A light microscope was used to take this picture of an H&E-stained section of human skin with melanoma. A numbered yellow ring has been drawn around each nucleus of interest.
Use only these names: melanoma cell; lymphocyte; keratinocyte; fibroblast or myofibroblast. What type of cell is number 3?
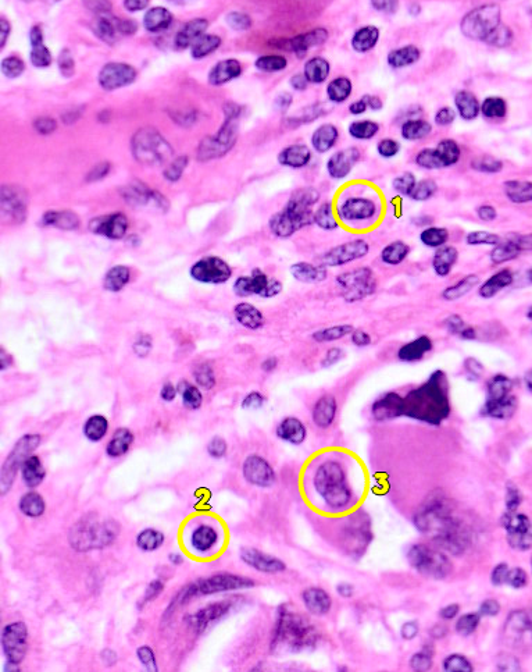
melanoma cell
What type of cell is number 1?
lymphocyte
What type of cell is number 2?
lymphocyte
